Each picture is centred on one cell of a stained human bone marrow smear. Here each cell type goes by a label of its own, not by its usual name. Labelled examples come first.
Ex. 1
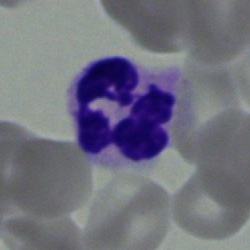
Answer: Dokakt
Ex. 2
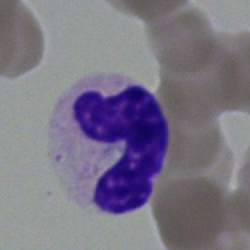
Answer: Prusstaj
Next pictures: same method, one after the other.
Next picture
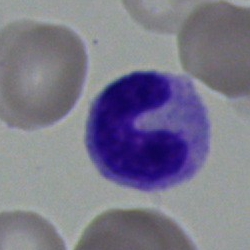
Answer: Prusstaj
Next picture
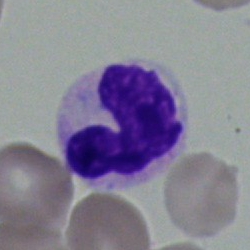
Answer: Prusstaj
